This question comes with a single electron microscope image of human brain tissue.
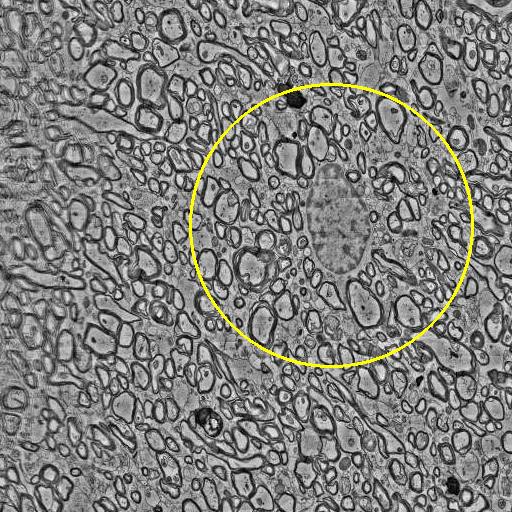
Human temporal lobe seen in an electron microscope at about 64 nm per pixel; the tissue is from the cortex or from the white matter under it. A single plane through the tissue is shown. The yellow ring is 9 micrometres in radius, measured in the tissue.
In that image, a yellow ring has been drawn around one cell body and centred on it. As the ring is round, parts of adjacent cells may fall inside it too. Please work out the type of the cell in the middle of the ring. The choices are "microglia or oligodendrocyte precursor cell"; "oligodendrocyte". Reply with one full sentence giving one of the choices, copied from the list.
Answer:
Of the choices, an oligodendrocyte is the cell sitting in the middle of the ring.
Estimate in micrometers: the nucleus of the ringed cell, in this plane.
The ringed cell's nucleus is about 7 micrometres long and 4 micrometres wide in this plane.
